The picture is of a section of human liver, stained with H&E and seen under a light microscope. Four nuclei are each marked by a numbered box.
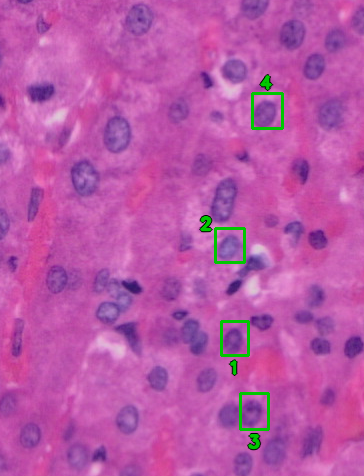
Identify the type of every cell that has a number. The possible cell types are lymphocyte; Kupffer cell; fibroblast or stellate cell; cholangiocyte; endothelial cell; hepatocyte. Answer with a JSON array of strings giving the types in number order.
["hepatocyte", "cholangiocyte", "hepatocyte", "hepatocyte"]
